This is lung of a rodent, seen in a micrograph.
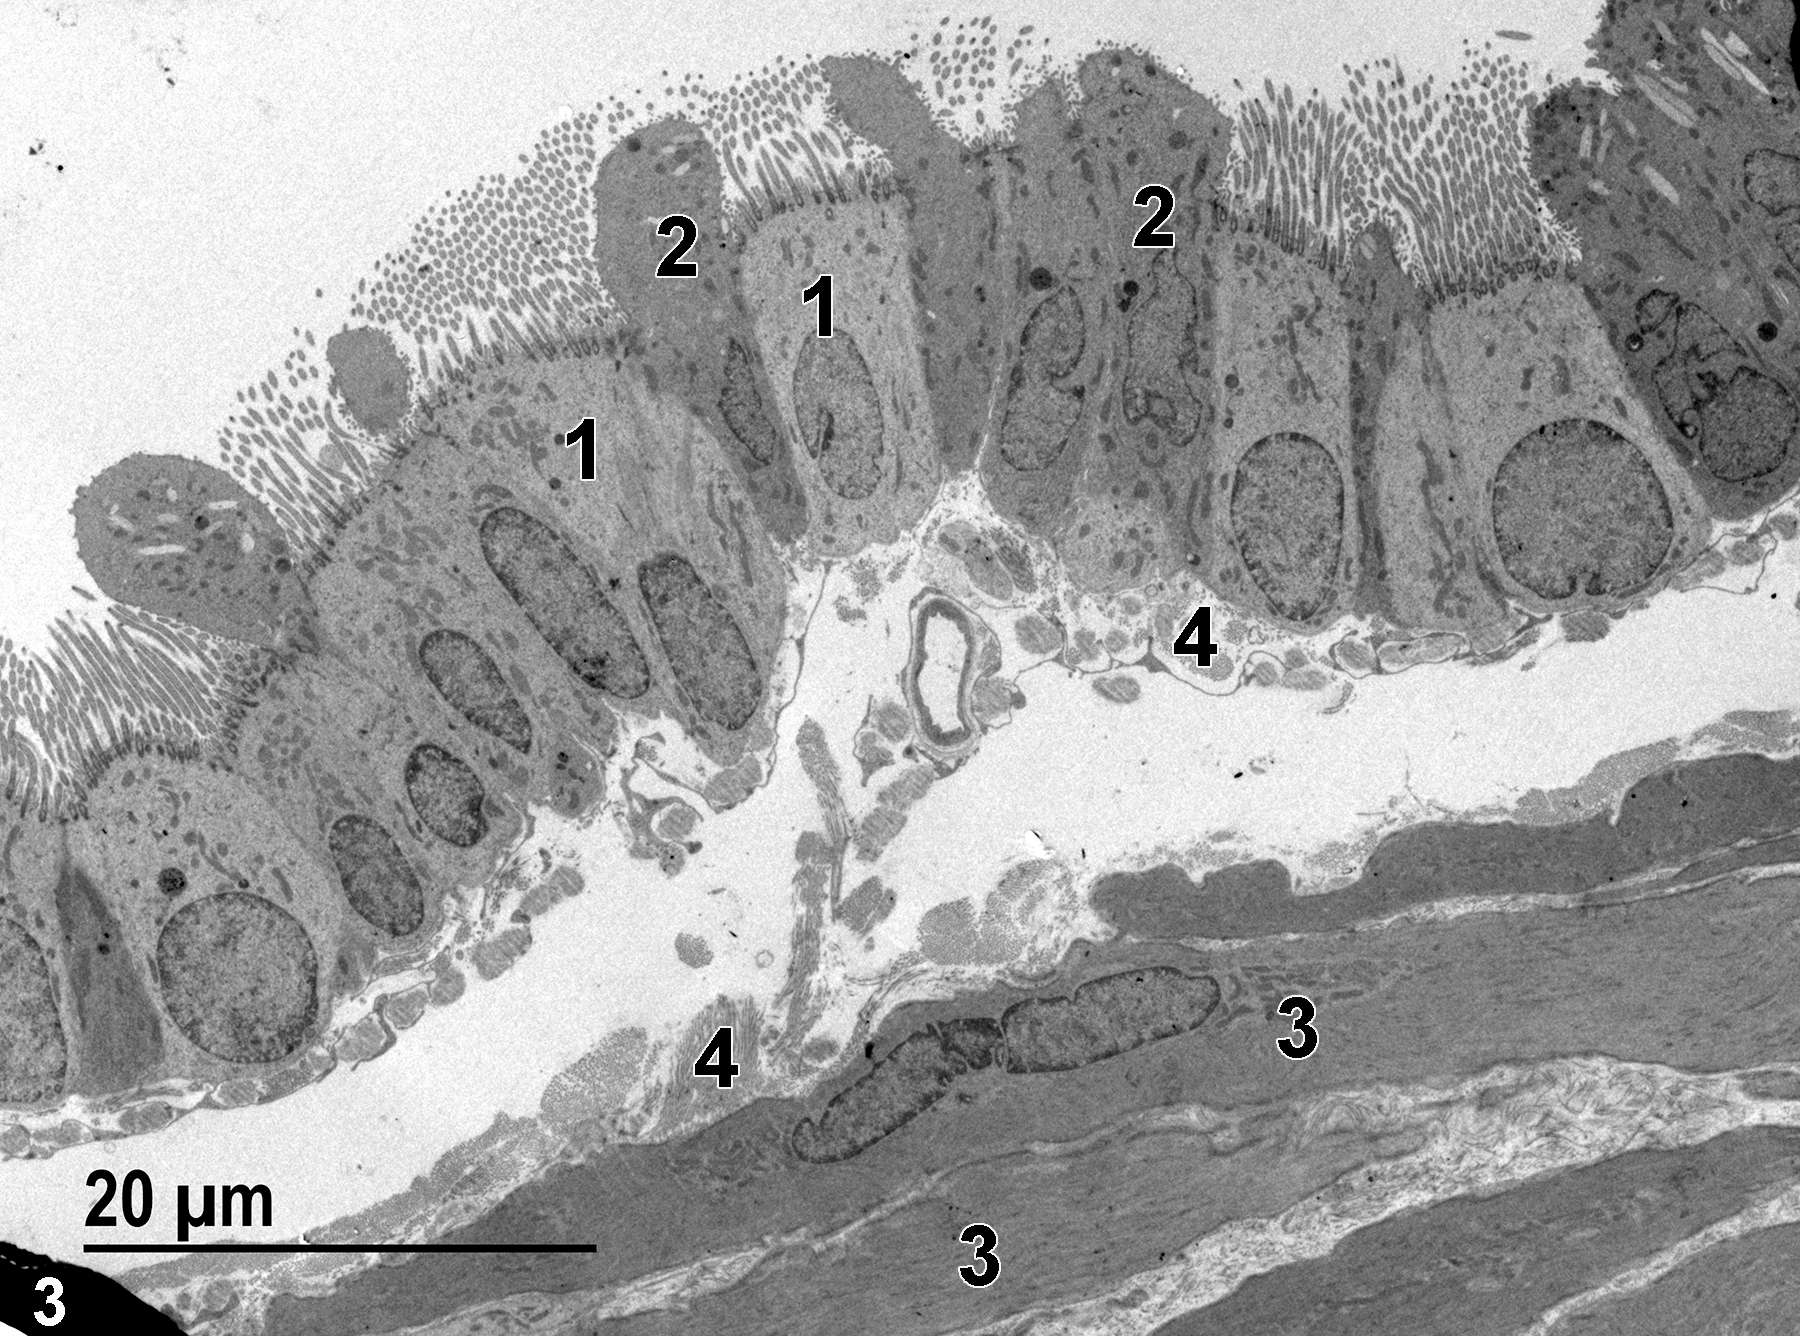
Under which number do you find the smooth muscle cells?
3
